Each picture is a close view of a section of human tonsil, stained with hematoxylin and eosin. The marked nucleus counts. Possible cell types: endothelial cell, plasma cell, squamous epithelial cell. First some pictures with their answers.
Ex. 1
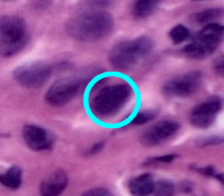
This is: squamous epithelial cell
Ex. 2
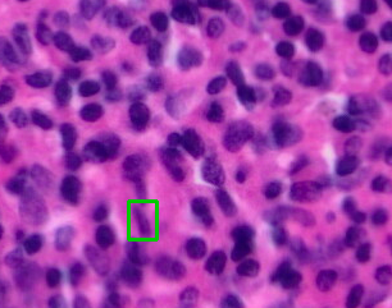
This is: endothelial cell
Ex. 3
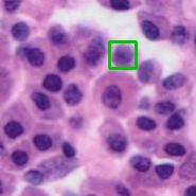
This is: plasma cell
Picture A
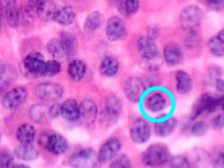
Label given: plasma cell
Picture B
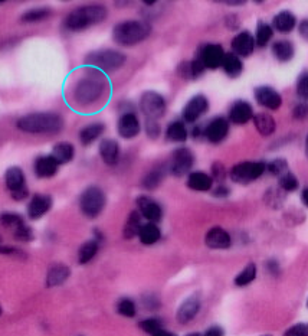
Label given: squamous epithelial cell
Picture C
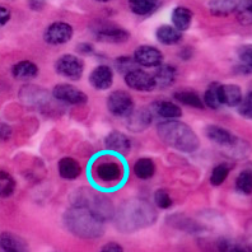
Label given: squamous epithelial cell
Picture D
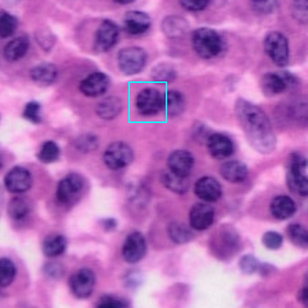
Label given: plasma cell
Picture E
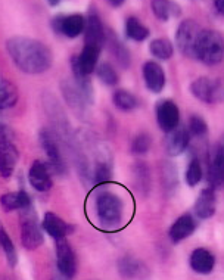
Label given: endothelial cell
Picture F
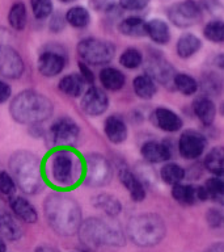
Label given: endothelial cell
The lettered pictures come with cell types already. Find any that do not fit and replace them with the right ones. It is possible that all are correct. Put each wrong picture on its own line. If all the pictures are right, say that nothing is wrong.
B: change squamous epithelial cell to endothelial cell
C: change squamous epithelial cell to endothelial cell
